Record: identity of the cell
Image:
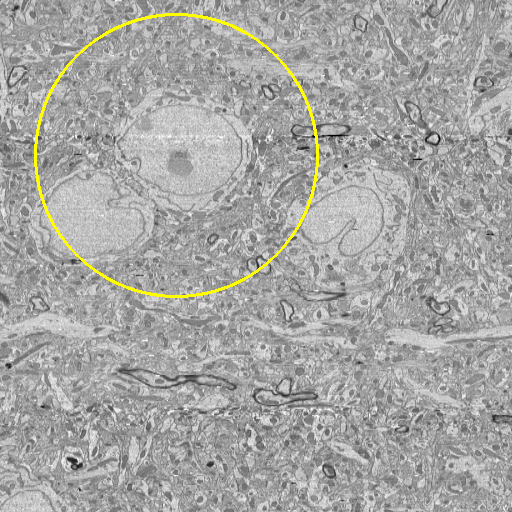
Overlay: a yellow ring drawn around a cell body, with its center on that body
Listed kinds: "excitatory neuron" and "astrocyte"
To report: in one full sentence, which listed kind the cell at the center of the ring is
In the image, the cell body at the ring's center belongs to an excitatory neuron.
